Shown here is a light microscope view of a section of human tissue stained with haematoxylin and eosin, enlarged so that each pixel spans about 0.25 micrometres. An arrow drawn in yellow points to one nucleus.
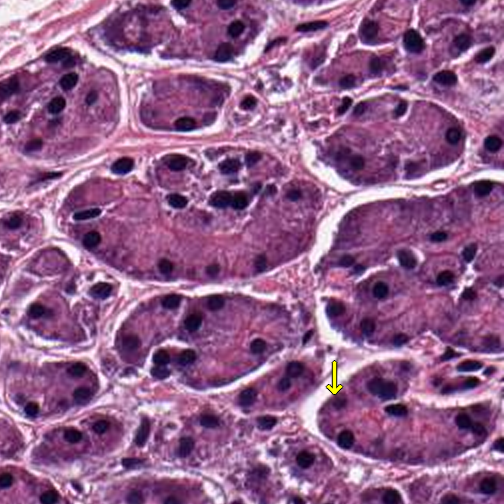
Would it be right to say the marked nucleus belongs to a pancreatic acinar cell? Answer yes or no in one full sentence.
Yes, what is marked here is the nucleus of a pancreatic acinar cell.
